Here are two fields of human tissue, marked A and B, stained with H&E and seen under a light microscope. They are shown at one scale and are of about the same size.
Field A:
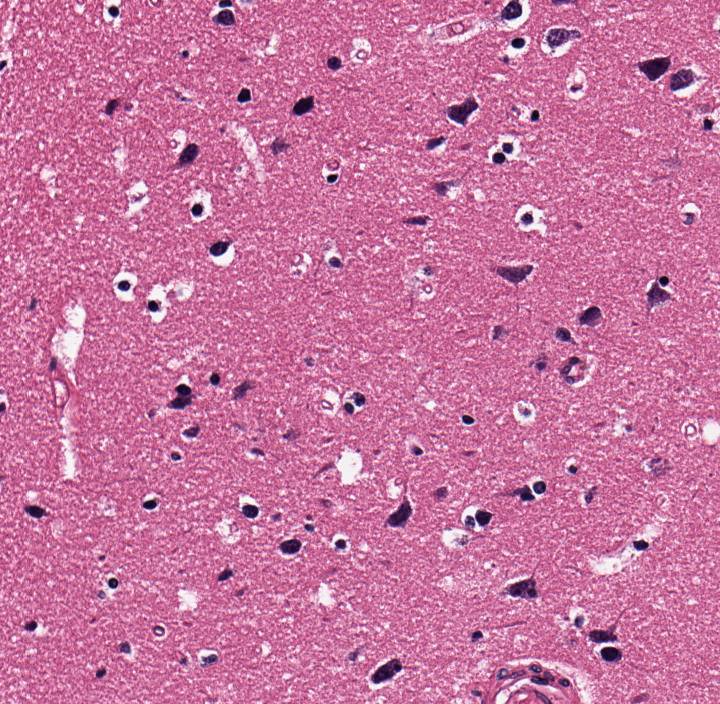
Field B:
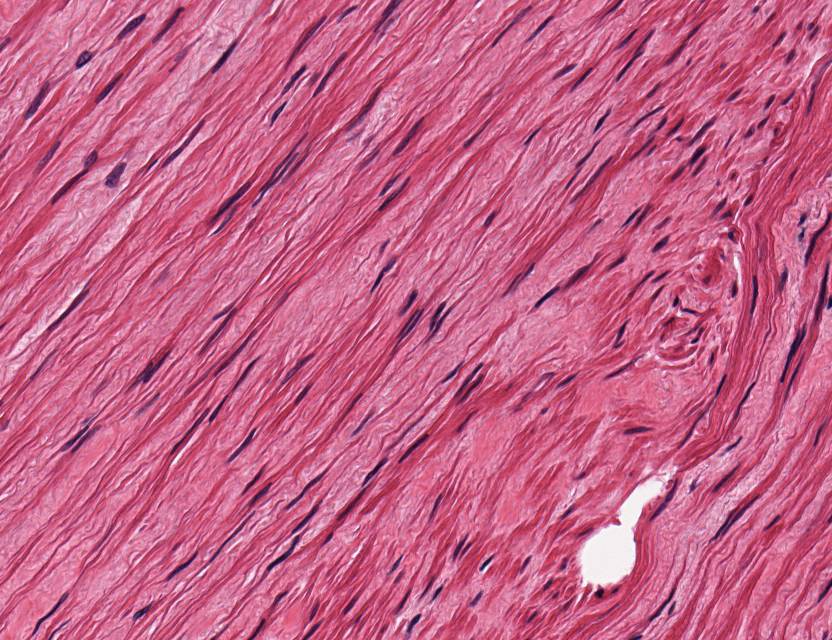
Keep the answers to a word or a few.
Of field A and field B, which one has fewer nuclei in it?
A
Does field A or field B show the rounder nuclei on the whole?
A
